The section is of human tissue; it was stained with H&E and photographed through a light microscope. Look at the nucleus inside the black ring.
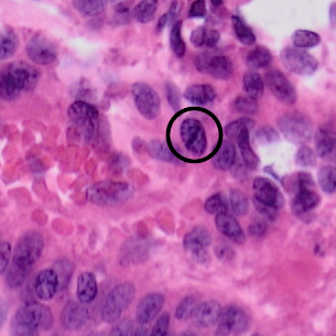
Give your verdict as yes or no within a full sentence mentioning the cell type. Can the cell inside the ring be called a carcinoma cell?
No, the cell inside the ring is simply a macrophage or monocyte rather than a carcinoma cell.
